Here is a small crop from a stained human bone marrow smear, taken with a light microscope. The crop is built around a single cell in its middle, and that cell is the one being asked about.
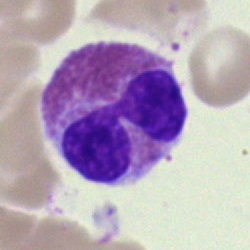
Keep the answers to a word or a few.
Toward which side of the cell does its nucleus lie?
lower right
